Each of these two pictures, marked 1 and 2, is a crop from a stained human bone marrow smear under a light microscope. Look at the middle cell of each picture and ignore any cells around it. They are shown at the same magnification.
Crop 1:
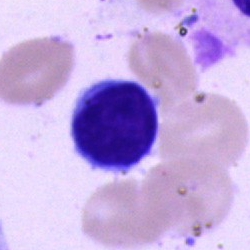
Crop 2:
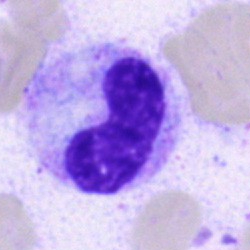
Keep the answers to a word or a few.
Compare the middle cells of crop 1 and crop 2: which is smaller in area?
1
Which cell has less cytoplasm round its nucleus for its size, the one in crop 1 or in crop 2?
1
